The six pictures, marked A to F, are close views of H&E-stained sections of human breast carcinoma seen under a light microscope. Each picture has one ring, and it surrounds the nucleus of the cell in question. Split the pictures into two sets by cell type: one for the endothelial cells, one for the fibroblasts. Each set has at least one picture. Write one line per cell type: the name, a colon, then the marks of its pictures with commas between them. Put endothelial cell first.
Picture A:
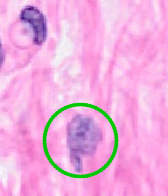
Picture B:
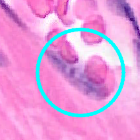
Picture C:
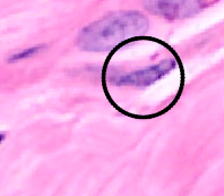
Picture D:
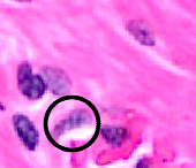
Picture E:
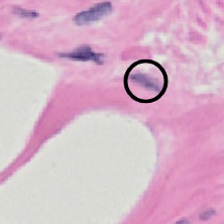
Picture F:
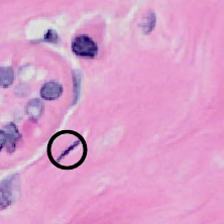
endothelial cell: B, C, D
fibroblast: A, E, F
